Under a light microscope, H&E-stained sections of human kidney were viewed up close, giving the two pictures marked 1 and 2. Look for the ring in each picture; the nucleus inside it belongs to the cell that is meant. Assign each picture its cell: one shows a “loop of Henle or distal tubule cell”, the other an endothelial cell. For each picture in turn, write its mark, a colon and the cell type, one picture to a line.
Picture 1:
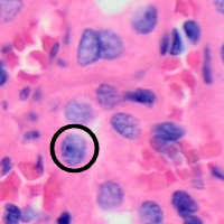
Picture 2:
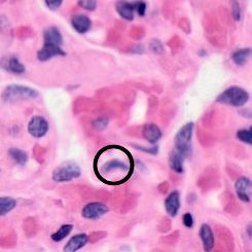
1: loop of Henle or distal tubule cell
2: endothelial cell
